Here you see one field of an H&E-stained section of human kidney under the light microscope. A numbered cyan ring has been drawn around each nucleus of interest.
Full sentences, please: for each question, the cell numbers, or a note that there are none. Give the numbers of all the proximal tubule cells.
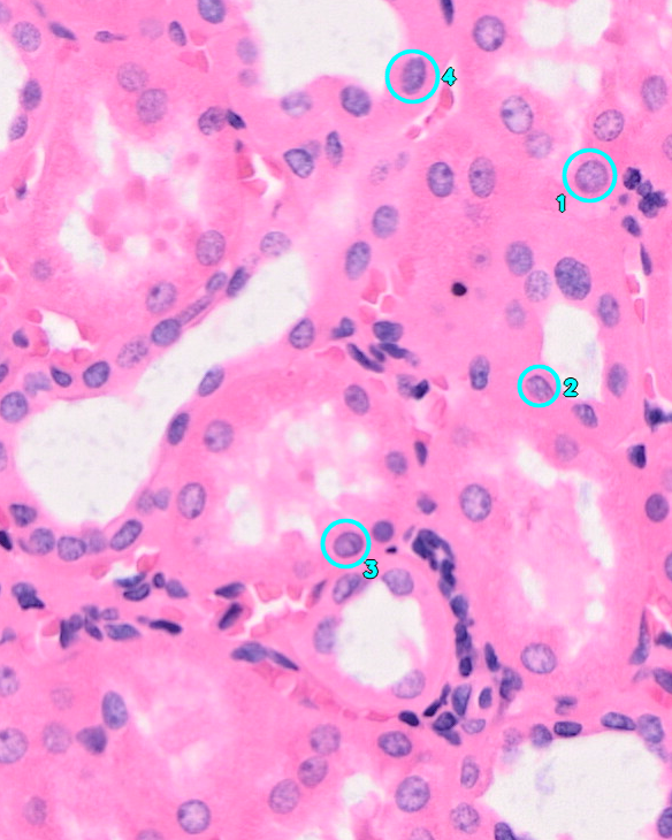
The cells carrying labels 1 and 3 are proximal tubule cells.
